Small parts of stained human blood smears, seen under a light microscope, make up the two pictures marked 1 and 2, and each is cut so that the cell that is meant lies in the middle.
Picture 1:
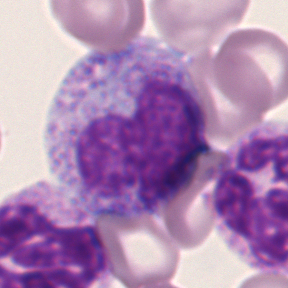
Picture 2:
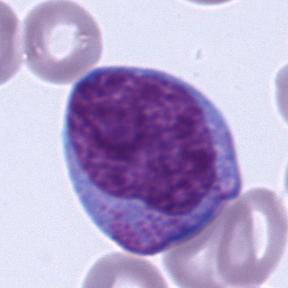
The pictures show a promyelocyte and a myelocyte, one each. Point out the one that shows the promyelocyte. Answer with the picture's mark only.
2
